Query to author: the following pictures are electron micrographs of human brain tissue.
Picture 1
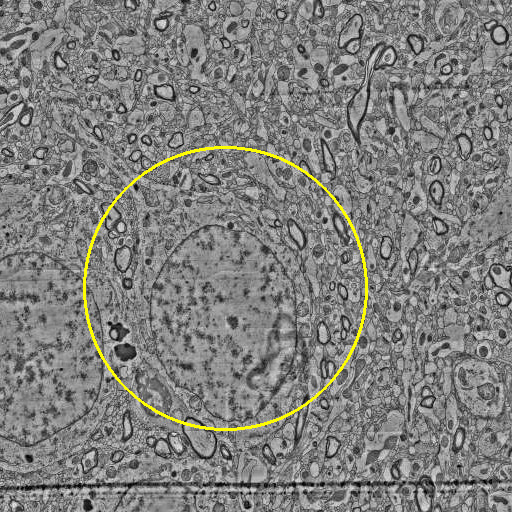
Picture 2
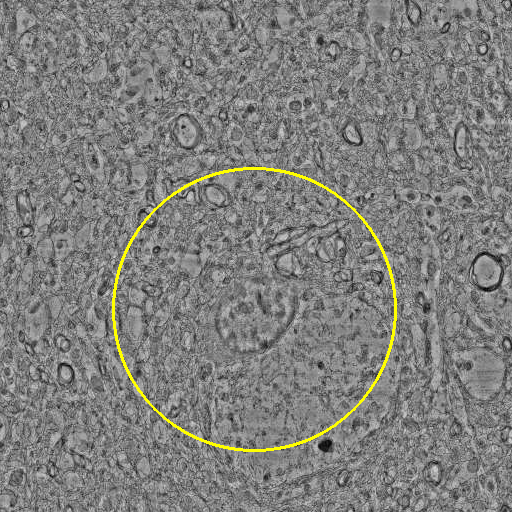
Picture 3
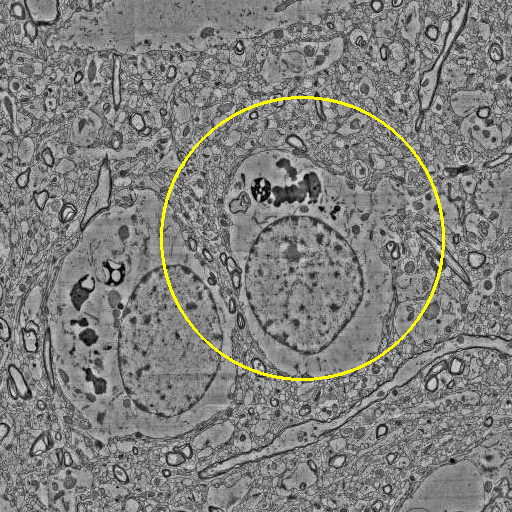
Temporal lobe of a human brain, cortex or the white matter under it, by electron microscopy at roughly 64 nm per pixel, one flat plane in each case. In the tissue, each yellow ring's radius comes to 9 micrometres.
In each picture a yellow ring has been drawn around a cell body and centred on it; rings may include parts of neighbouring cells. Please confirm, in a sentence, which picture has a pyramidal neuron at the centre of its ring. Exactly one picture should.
Picture 1 has it at the centre of its ring.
